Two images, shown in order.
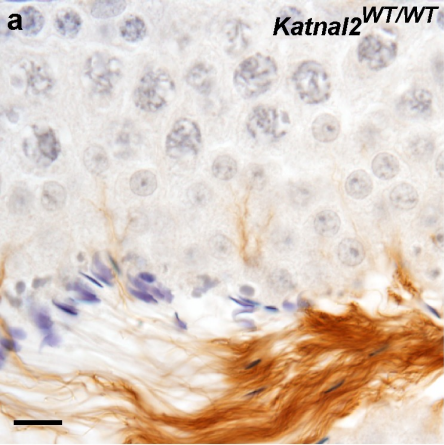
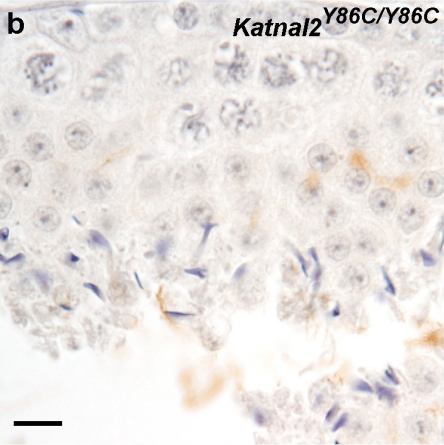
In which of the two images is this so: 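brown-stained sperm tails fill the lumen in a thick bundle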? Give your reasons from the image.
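Second image: only scattered faint brown wisps near the lumen. First image: a dense brown bundle of fibres fills the lower part and thin brown strands rise between cells.
Hence: the first image.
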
